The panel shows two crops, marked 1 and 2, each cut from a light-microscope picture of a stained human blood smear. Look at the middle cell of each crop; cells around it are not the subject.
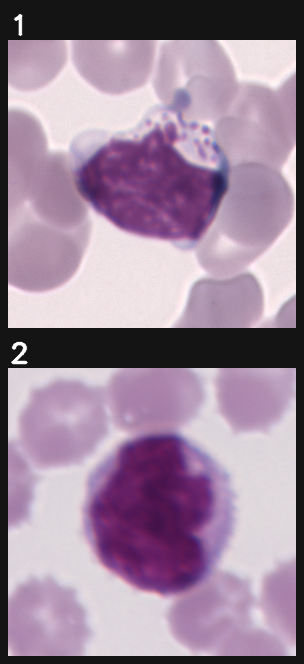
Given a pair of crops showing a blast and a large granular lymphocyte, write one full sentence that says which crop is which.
Crop 1 is a large granular lymphocyte, and, separately, crop 2 is a blast.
